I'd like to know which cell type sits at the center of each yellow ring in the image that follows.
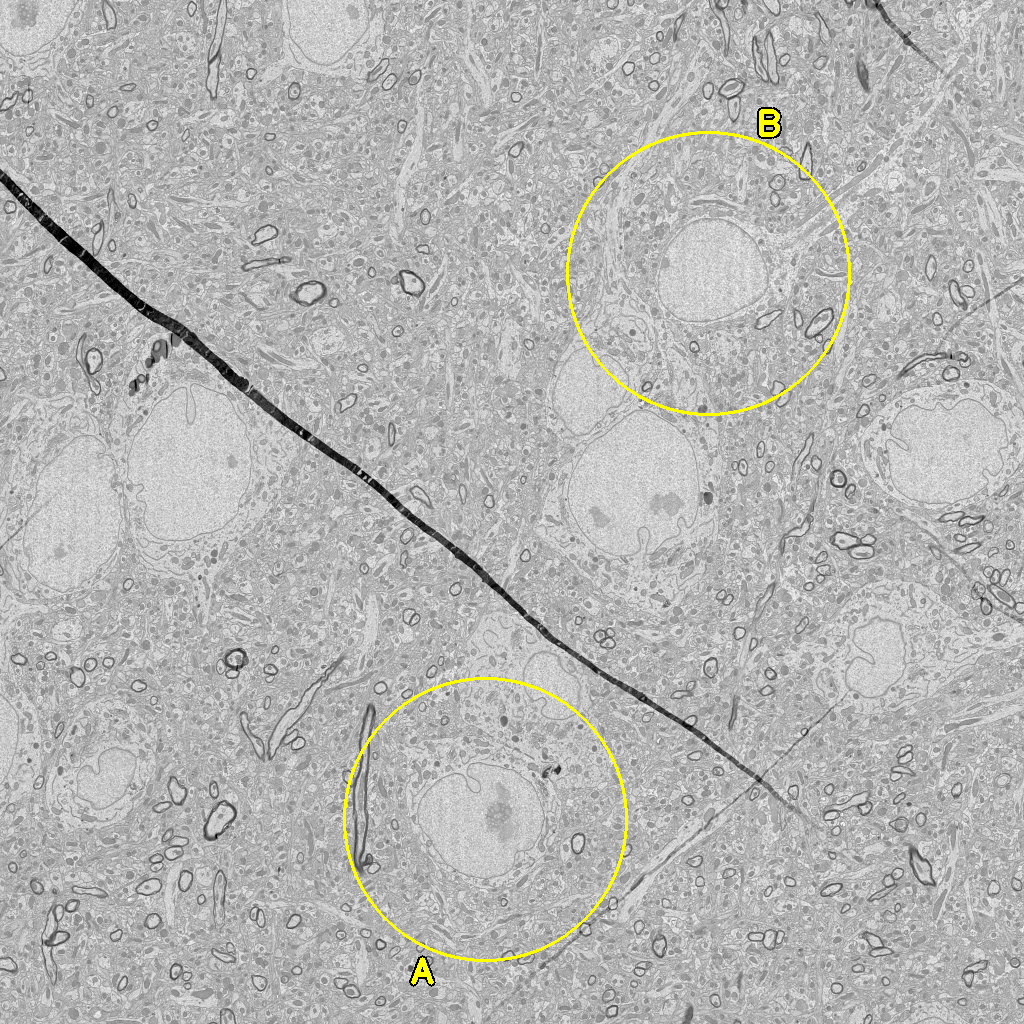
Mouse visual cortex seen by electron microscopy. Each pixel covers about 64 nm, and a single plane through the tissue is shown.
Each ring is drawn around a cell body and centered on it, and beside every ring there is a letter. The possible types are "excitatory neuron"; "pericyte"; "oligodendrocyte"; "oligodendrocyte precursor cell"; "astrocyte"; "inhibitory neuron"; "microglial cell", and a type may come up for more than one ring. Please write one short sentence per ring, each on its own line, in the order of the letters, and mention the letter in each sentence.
The cell at the center of ring A is an inhibitory neuron.
The cell at the center of ring B is an astrocyte.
